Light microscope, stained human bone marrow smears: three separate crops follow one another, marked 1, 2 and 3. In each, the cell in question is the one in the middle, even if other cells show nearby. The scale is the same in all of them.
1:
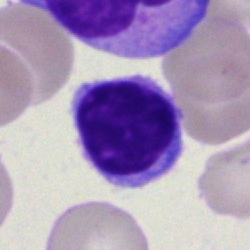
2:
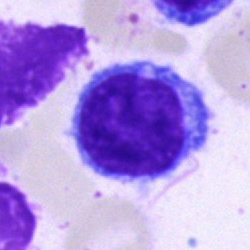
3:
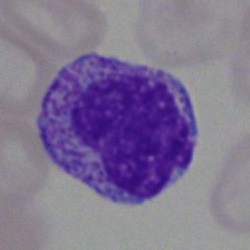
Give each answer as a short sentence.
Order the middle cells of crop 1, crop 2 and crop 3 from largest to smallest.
The order is 3, 2, 1, beginning with the largest.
